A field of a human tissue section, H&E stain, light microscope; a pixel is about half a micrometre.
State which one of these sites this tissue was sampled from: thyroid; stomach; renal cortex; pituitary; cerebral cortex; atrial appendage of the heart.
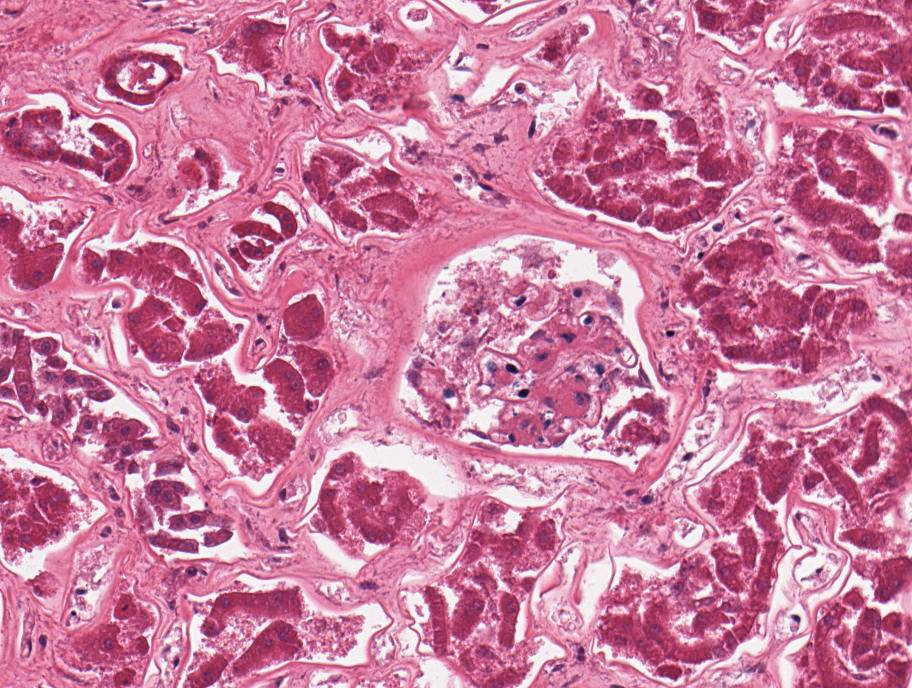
renal cortex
